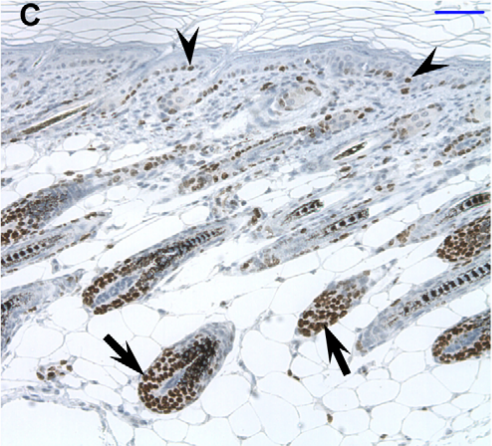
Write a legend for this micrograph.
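Brown-stained nuclei lie scattered along the base of the thin surface epithelium. Hair follicles run obliquely through the dermis, and their deep ends, the bulbs, lie among large empty-looking fat cells; these bulbs are densely crowded with brown-stained nuclei. Hair shafts with banded pigment run within the follicles. Unstained nuclei appear blue in the dermis and follicle walls. The fat layer consists of large round cells with thin rims and clear interiors.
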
